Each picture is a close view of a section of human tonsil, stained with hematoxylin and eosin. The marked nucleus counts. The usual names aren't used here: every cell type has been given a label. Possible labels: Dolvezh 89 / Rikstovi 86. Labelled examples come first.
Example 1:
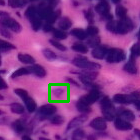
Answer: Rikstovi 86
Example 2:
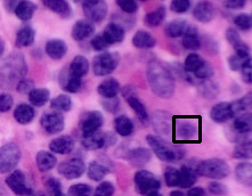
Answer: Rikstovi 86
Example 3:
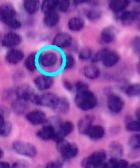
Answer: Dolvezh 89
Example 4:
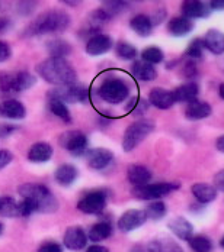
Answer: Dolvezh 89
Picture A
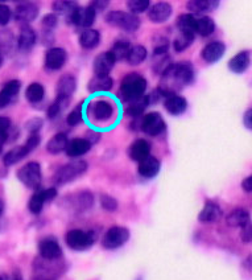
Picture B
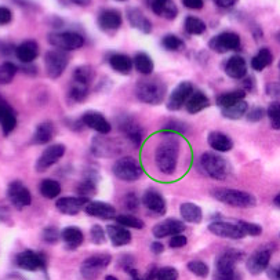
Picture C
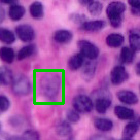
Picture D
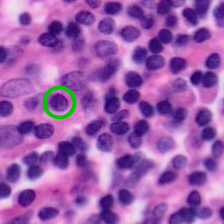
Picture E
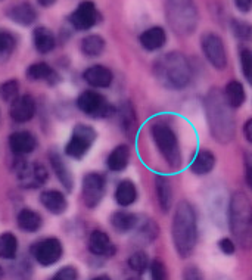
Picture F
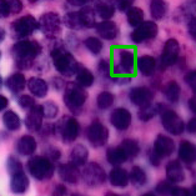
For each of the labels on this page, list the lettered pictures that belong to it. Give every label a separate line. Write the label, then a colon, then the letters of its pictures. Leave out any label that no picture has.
Dolvezh 89: A, F
Rikstovi 86: B, C, D, E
